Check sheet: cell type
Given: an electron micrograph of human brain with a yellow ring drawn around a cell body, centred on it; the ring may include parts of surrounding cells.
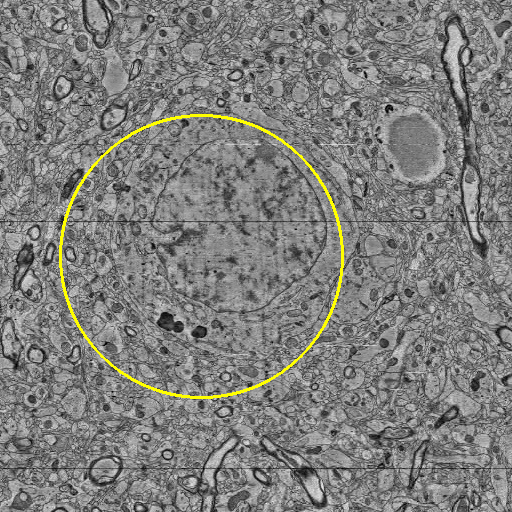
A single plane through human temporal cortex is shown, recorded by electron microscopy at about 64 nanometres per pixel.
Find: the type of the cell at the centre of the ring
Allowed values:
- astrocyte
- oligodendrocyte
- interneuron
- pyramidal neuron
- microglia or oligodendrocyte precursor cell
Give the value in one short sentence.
Here the ringed cell is a pyramidal neuron.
